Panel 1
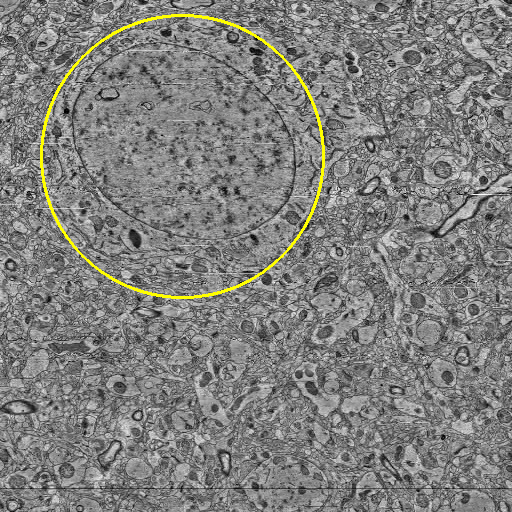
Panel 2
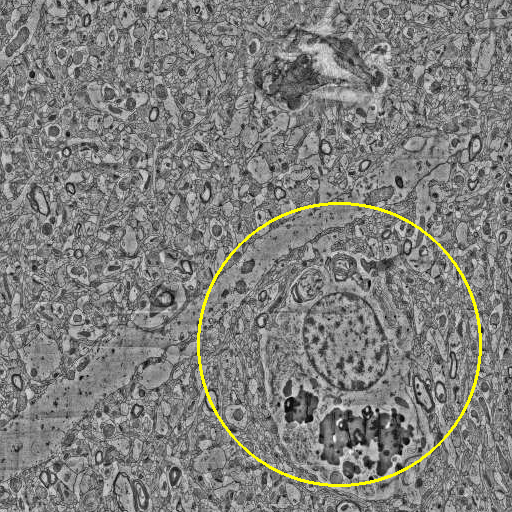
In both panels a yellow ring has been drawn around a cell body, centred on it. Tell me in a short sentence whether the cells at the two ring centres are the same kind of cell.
No, they are two kinds of cell.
